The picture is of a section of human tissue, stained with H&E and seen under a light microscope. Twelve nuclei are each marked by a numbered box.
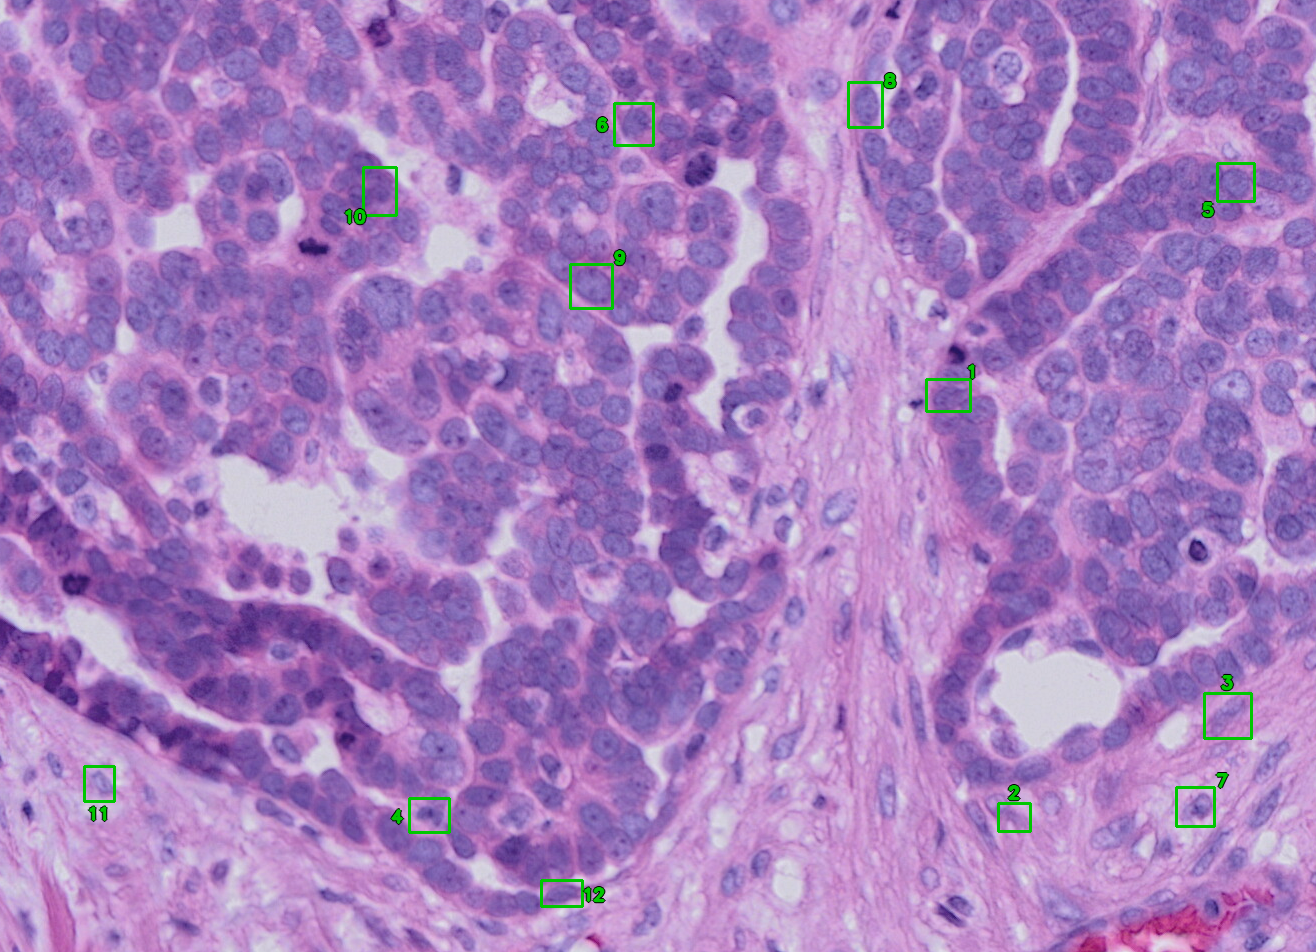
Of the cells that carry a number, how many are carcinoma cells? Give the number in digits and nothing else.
7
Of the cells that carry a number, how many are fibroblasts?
3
